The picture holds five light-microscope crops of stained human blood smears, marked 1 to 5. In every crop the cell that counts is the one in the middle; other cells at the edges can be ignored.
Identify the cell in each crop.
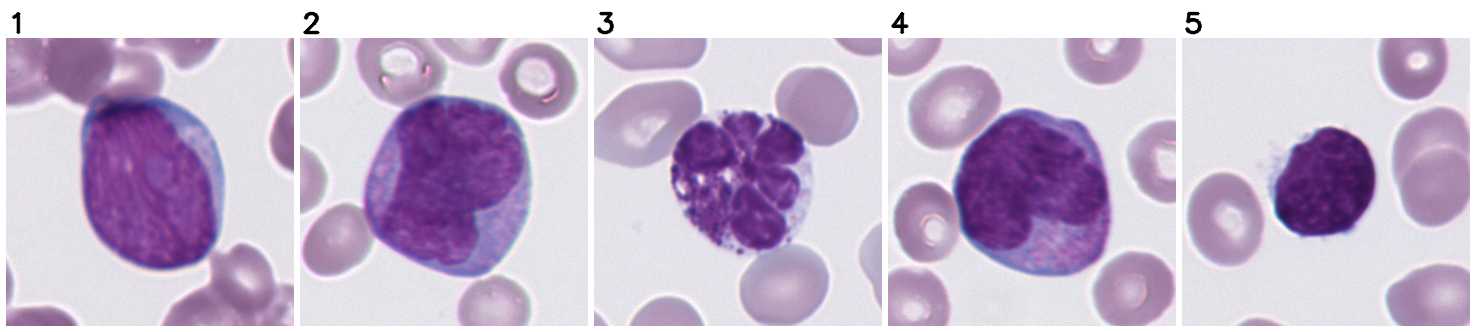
1: myeloblast
2: atypical promyelocyte
3: basophil
4: atypical promyelocyte
5: typical lymphocyte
